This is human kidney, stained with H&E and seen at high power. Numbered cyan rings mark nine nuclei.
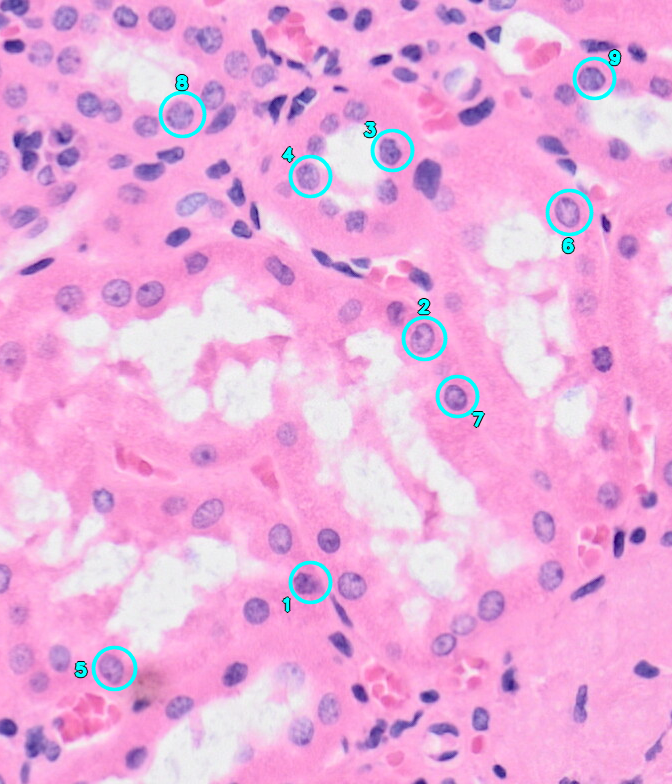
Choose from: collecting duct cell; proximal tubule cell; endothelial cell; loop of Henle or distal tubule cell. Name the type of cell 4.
loop of Henle or distal tubule cell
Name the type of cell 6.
proximal tubule cell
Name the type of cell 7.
proximal tubule cell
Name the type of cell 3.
loop of Henle or distal tubule cell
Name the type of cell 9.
loop of Henle or distal tubule cell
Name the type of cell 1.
proximal tubule cell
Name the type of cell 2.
proximal tubule cell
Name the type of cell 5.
proximal tubule cell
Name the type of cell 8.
loop of Henle or distal tubule cell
